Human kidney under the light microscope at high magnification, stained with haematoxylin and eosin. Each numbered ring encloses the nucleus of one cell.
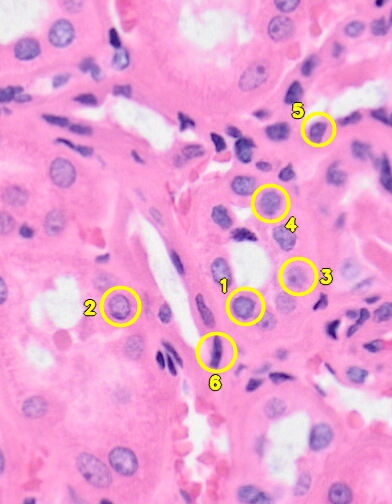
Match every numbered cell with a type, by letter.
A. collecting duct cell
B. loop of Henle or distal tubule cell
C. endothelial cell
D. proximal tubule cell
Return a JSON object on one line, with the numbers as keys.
{"1": "B", "2": "D", "3": "B", "4": "B", "5": "A", "6": "A"}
